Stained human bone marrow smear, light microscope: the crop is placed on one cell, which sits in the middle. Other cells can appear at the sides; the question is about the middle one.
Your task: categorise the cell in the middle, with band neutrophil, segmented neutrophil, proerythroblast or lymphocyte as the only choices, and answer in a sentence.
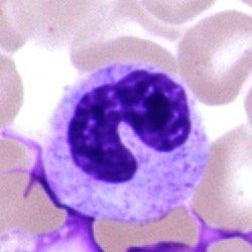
This particular crop is centered on a band neutrophil.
